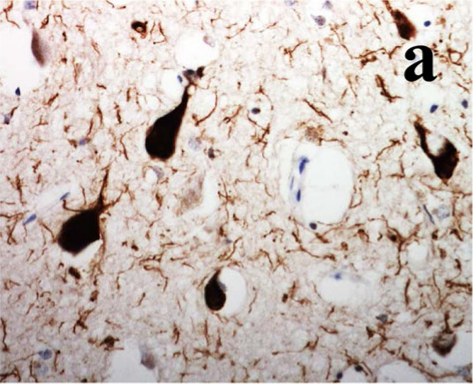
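This is cerebral cortex in which several large neurones have their cell bodies filled solidly with dark brown material, giving them a flame or triangular shape with tapering processes. Around them the neuropil is crossed by many short, fine, wavy brown threads, while the few small blue nuclei of glial cells stay unstained.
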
